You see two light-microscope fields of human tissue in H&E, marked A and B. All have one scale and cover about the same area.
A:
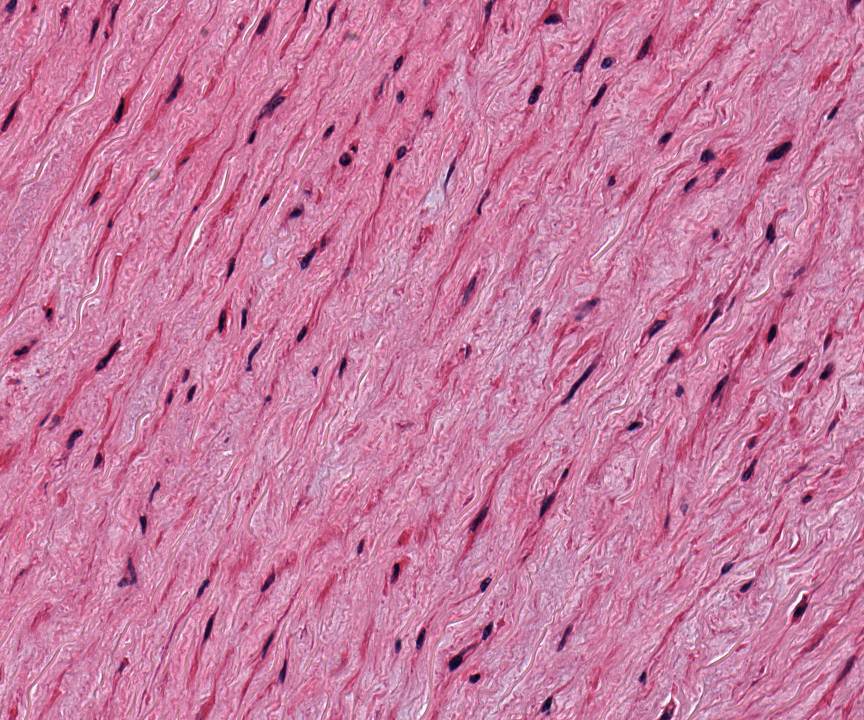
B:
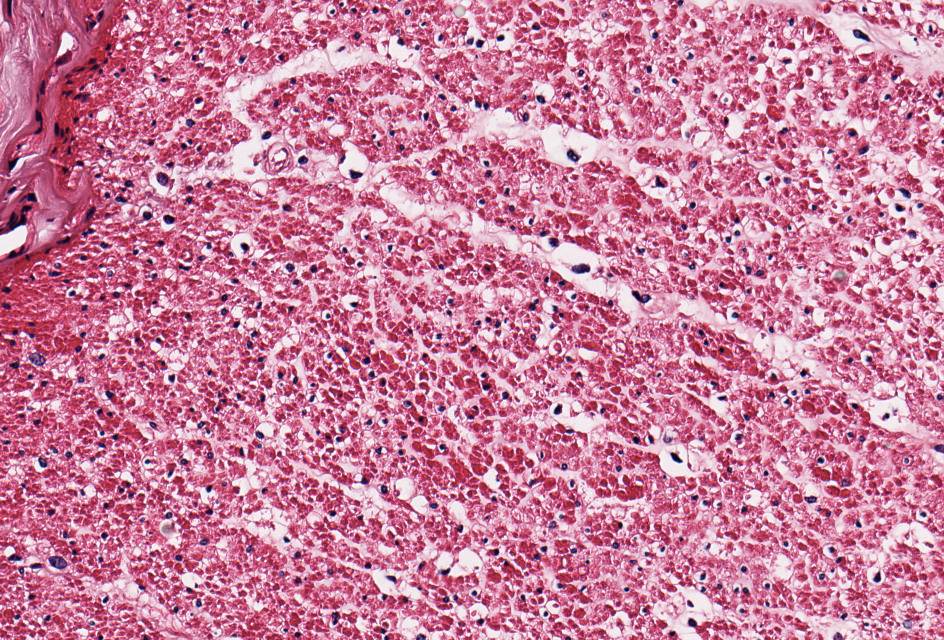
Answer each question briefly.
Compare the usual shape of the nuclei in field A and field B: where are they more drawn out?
A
